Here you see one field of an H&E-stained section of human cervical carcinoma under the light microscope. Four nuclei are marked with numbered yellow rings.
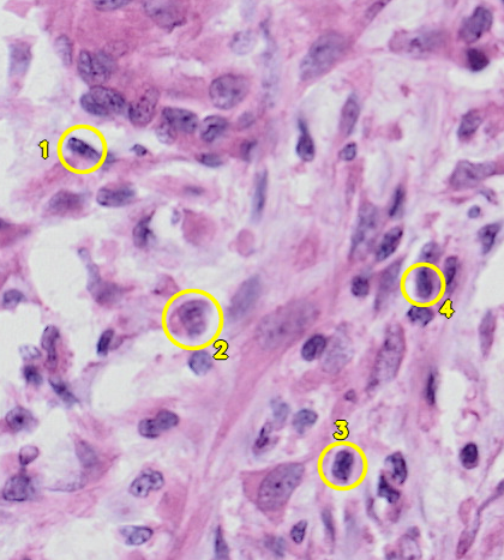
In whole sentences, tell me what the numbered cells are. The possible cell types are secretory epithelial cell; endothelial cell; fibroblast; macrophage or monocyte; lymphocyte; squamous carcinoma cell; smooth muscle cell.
Cells 1, 3 and 4 are lymphocytes. Cell 2 is a macrophage or monocyte.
